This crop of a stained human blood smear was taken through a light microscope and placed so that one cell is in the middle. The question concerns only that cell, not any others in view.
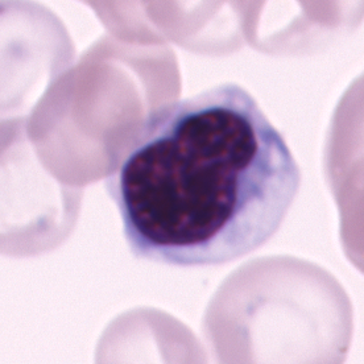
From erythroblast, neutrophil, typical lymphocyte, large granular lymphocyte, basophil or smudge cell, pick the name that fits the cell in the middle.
erythroblast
